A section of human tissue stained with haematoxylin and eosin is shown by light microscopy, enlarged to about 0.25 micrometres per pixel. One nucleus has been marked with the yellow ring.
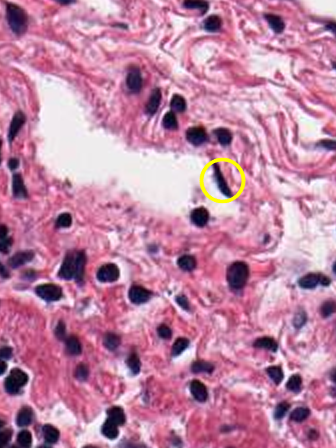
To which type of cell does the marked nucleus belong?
endothelial cell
